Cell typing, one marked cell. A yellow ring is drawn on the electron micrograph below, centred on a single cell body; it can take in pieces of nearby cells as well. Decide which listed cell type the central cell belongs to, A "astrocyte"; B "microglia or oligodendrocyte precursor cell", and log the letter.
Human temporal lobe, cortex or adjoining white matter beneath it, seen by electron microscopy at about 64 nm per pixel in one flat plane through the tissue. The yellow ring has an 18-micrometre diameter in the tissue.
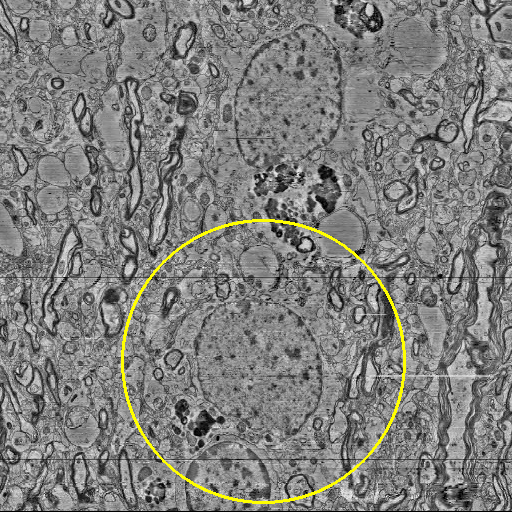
A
